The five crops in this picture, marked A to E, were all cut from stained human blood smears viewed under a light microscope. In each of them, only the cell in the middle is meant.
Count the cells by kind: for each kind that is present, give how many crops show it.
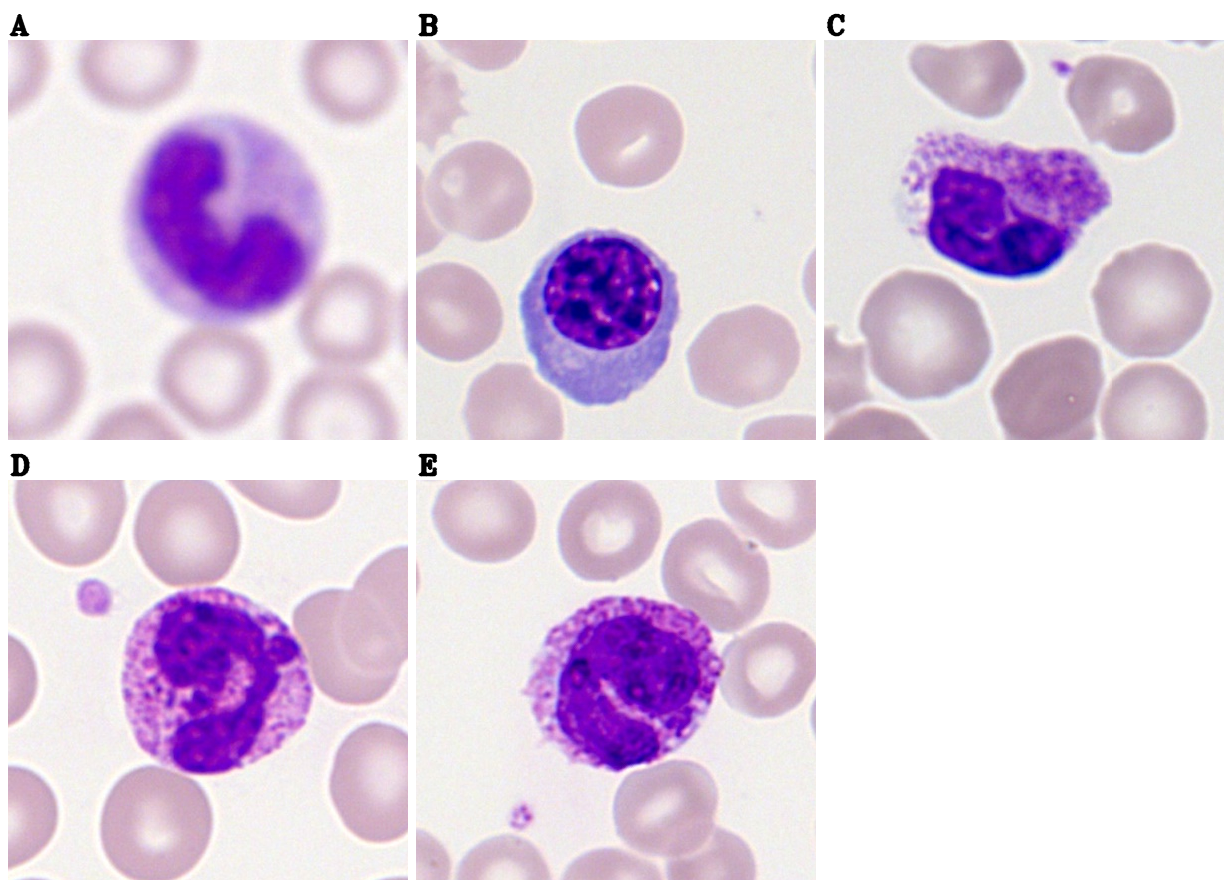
basophil: 3
band neutrophil: 1
erythroblast: 1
